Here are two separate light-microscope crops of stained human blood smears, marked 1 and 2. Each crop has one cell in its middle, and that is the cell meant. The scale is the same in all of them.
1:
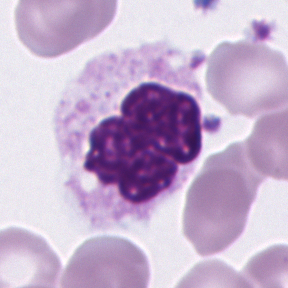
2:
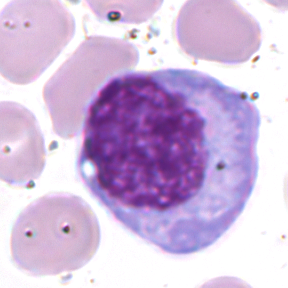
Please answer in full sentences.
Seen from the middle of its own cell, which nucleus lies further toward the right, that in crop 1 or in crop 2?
In crop 1 the nucleus is shifted more toward the right.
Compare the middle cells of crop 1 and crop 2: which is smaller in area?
The cell in crop 1 is smaller; the one in crop 2 has about 1.5 times its area.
